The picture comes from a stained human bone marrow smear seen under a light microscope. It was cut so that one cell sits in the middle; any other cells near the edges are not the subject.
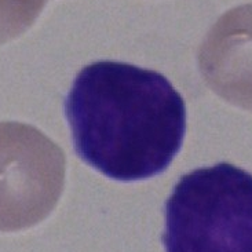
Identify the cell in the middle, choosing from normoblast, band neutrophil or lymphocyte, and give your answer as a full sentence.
To answer, the cell in the center of the crop is a lymphocyte.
